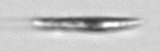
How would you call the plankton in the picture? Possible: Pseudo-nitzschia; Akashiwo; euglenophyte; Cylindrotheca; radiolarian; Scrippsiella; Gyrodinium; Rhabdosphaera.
I would call it an euglenophyte.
